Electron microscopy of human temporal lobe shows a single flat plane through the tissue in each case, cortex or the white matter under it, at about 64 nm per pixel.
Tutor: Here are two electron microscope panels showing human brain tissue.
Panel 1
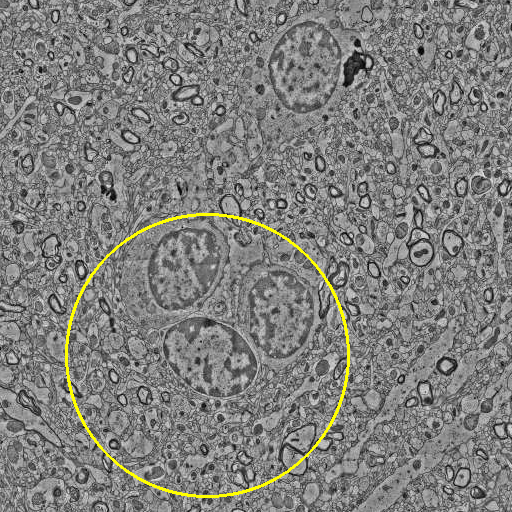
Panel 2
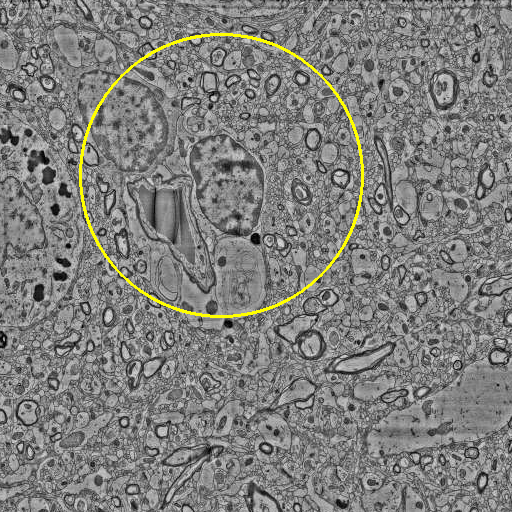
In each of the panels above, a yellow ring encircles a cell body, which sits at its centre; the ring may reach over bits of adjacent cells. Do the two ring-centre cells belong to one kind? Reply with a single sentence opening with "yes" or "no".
Yes, the two cells sitting at the ring centres in the panels belong to one kind.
